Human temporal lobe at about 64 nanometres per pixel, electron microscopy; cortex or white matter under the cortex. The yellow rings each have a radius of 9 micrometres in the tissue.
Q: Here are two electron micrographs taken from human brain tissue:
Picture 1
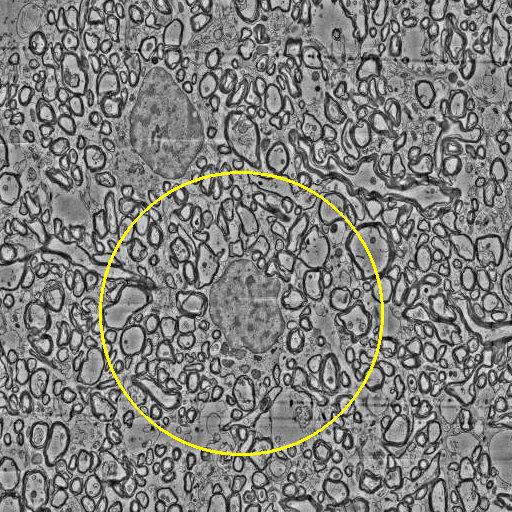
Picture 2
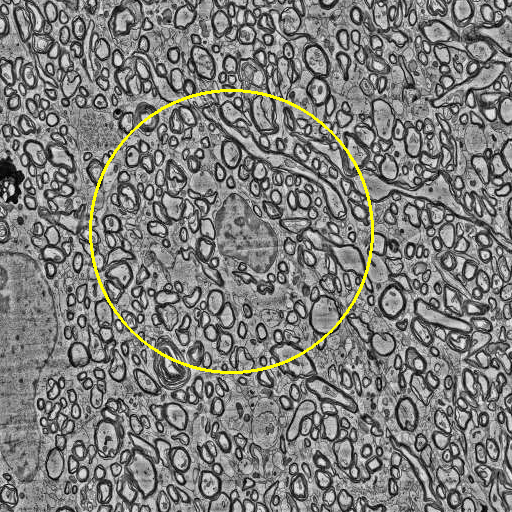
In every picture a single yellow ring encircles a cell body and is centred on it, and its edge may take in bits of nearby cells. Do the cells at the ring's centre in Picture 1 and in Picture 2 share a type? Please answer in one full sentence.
No, the cells at the ring's centre in Picture 1 and Picture 2 are of two types.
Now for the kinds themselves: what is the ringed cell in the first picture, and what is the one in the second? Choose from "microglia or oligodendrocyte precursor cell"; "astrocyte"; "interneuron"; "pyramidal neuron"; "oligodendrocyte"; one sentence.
Here the first cell is an oligodendrocyte and the second cell is a microglial cell or oligodendrocyte precursor cell.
